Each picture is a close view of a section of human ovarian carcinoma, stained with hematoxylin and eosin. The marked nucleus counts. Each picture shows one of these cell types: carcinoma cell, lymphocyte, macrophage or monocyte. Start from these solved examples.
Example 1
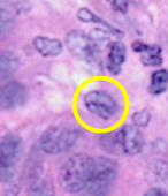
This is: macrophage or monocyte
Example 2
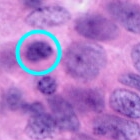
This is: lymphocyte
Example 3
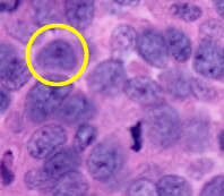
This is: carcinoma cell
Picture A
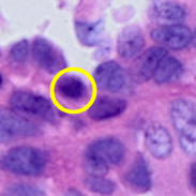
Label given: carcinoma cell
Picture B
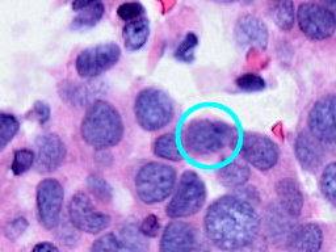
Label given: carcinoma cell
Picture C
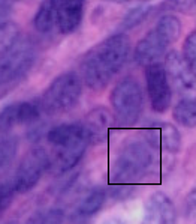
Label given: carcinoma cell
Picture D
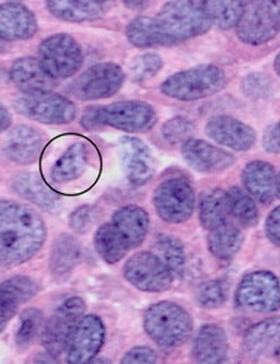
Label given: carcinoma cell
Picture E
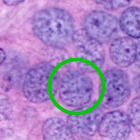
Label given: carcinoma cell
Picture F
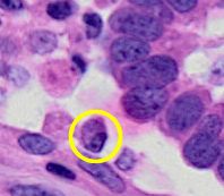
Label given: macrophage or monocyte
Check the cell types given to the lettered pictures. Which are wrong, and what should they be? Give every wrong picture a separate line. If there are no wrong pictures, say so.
D should be macrophage or monocyte, not carcinoma cell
